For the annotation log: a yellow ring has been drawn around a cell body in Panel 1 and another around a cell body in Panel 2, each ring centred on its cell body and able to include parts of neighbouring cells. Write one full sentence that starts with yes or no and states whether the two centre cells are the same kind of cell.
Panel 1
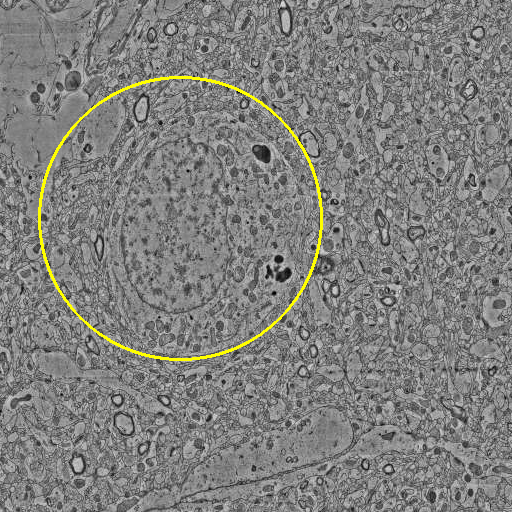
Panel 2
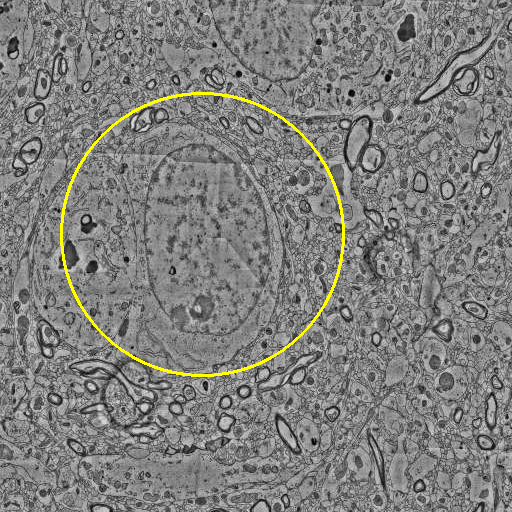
Yes, the two centre cells are the same kind of cell.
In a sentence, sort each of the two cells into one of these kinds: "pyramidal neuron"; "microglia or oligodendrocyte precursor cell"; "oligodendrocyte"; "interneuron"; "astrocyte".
Both the first and the second picture show an interneuron in the ring.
